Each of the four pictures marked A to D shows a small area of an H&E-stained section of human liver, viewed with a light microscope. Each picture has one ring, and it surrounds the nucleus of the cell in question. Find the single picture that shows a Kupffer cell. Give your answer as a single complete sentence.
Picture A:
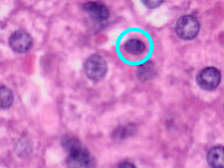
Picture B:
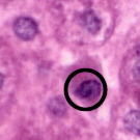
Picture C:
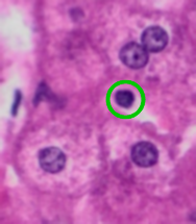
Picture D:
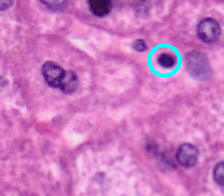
The cell in picture B is the Kupffer cell.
